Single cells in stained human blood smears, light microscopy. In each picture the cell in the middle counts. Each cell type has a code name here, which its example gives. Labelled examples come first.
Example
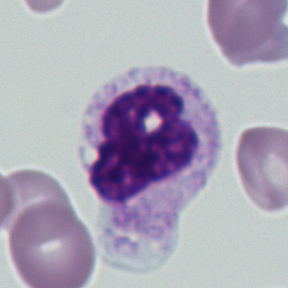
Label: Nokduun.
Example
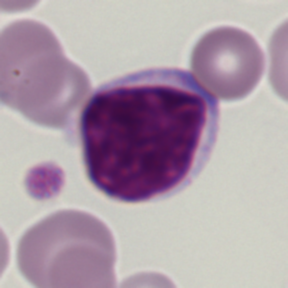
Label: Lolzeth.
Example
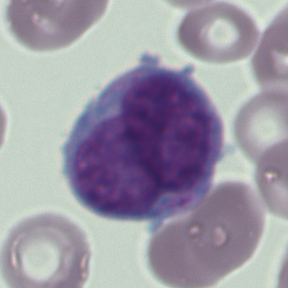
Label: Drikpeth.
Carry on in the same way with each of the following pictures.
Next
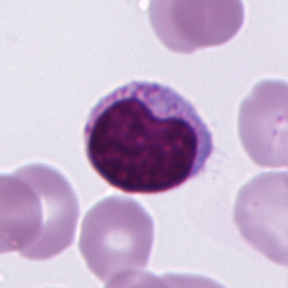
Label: Lolzeth.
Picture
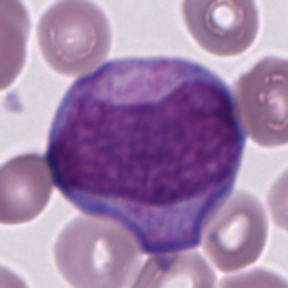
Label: Drikpeth.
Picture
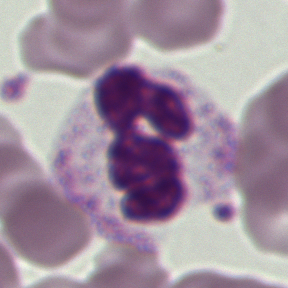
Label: Nokduun.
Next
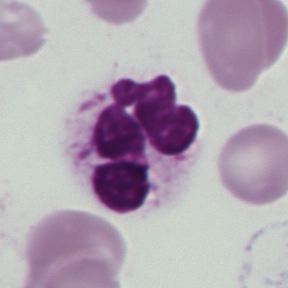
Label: Nokduun.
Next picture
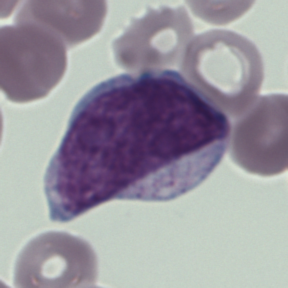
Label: Drikpeth.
